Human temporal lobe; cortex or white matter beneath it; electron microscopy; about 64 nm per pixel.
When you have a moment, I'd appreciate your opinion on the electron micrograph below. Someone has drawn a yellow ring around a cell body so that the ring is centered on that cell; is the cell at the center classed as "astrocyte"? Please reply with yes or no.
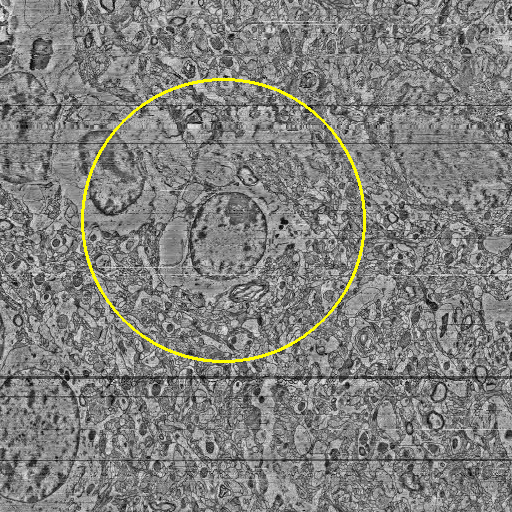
Yes, that cell is of the named kind.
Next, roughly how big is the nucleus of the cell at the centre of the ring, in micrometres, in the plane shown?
The ringed cell's nucleus is about 6 micrometres long and 5 micrometres wide in this plane.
